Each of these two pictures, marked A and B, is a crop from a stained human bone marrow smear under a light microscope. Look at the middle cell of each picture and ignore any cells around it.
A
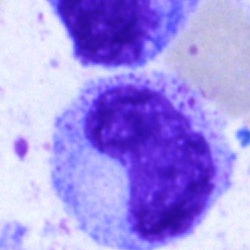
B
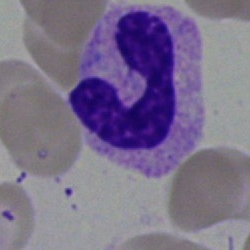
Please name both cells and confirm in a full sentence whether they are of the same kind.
No, the cells are a metamyelocyte in crop A and a band neutrophil in crop B.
